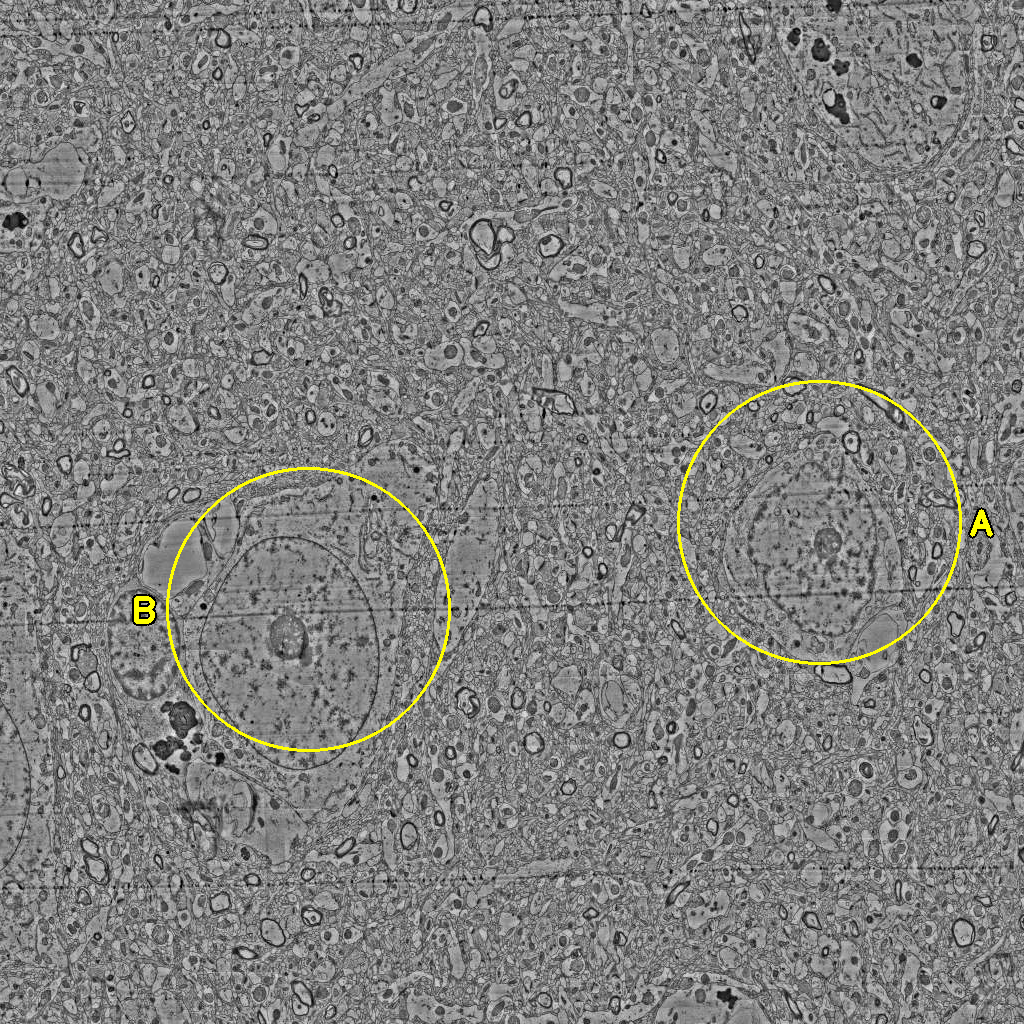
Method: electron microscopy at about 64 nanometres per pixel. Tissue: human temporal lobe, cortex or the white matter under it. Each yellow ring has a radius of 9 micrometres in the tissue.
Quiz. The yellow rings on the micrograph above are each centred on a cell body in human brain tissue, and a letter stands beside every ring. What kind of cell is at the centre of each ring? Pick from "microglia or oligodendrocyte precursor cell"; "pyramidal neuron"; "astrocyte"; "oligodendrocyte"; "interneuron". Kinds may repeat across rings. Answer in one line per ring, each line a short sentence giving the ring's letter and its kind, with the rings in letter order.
The ring labelled A has an interneuron at its centre.
The ring labelled B has a pyramidal neuron at its centre.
